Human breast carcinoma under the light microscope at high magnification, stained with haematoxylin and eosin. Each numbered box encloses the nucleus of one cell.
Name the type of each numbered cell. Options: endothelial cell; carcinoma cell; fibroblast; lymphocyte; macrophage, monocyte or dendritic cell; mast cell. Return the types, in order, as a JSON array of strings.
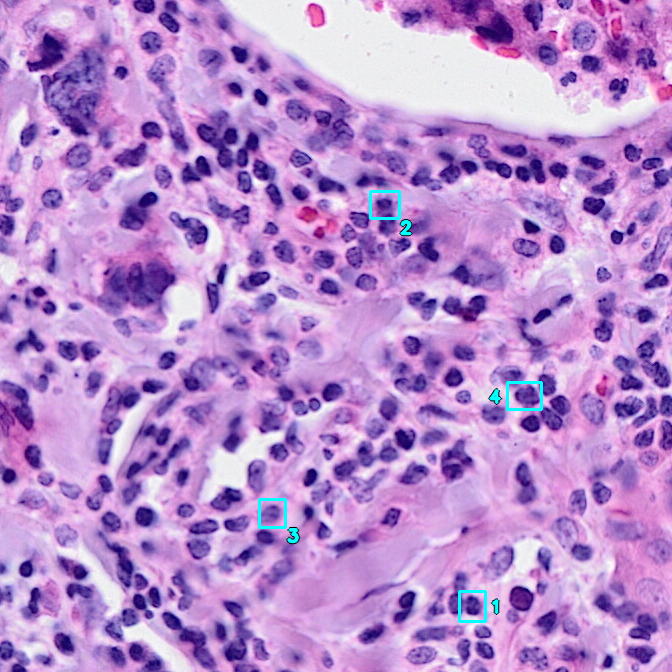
["lymphocyte", "lymphocyte", "mast cell", "lymphocyte"]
